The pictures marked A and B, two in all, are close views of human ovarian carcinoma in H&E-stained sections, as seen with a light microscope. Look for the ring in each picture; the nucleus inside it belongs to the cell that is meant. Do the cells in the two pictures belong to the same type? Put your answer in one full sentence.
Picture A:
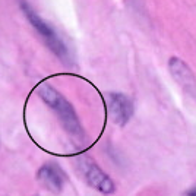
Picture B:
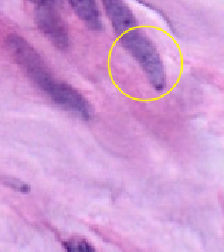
Yes, both are smooth muscle cells.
